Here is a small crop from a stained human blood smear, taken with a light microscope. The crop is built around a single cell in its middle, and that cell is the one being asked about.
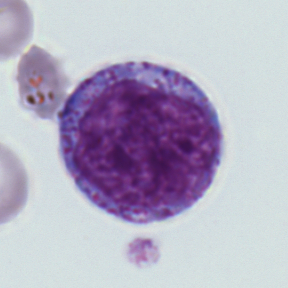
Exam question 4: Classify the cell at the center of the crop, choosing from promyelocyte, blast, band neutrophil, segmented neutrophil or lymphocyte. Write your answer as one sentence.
For this crop, the cell in the middle is a promyelocyte.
